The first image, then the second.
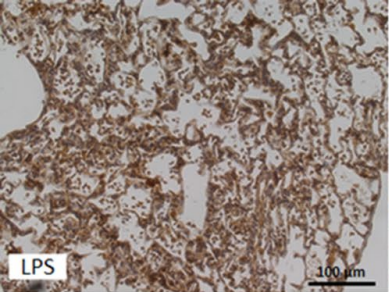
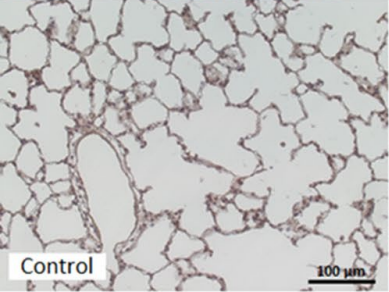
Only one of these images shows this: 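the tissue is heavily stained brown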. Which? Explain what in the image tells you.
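Second image: septa are pale with only faint brownish tint. First image: septa and cells are dense dark brown across most of the field. That points to this answer: the first image.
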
